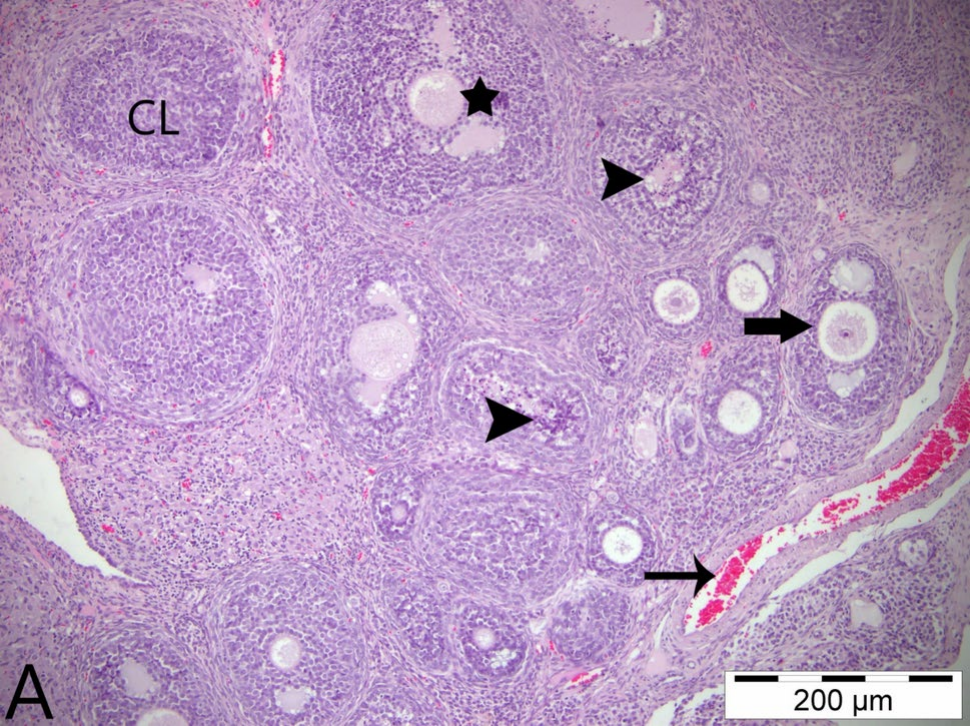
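This is ovarian cortex crowded with follicles at different stages, each a round nest of densely packed purple granulosa cells wrapped in a thin layer of flattened spindle-shaped stromal cells. Some follicles hold a pale oocyte with a clear halo and small fluid-filled spaces, while in others the centre is filled with loose, fragmented, darker debris where granulosa cells have broken down. At the upper left, a large solid rounded body of evenly packed cells without a cavity stands apart from the follicles. At the right edge, a long vessel is distended and packed with bright red blood cells.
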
